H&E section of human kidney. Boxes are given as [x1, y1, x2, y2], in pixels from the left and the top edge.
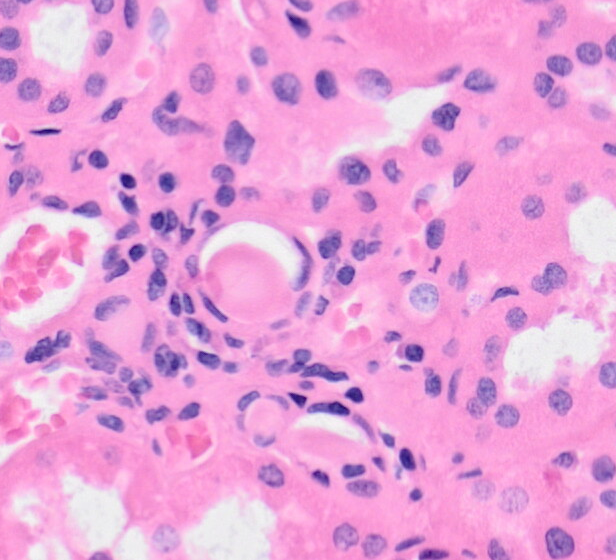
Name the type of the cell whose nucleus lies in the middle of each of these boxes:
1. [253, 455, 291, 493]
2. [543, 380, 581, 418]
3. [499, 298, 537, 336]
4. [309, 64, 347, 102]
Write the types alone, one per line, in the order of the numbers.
proximal tubule cell
loop of Henle or distal tubule cell
loop of Henle or distal tubule cell
loop of Henle or distal tubule cell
